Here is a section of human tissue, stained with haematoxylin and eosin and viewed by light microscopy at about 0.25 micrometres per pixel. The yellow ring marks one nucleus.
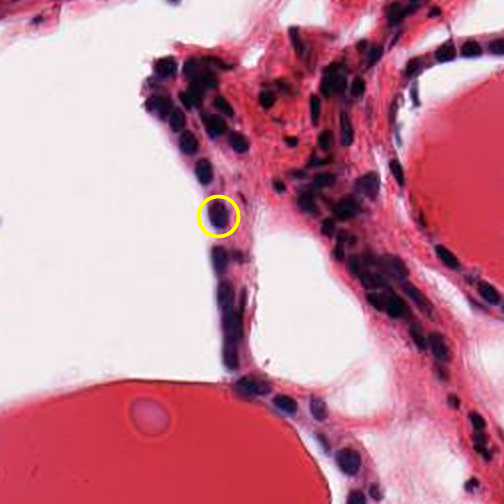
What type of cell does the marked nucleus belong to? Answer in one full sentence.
The marked nucleus sits within a thyroid follicular cell.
